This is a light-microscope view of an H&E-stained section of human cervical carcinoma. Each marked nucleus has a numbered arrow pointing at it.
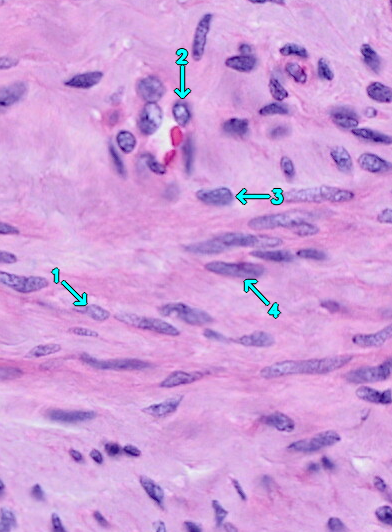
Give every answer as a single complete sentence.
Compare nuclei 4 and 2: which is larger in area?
Nucleus 4 is the larger one, covering about 2 times the area of nucleus 2.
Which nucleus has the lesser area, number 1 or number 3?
It is nucleus 1; nucleus 3 has about 1.5 times its area.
